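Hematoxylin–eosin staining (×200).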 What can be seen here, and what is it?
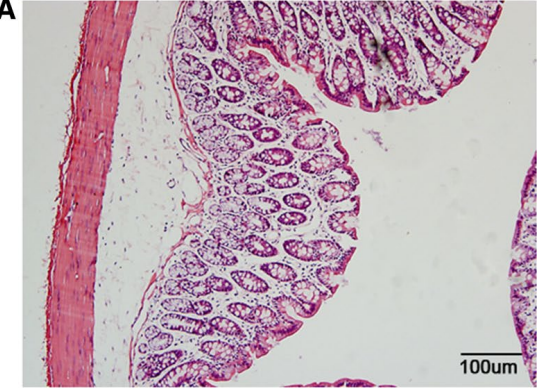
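This is a cross-section of the colon wall, with a mucosa of closely packed tubular crypts lined by columnar epithelium rich in pale goblet cells. Purple nuclei sit at the base of the epithelial cells. Thin strips of lamina propria lie between the crypts. Beneath the mucosa is a pale, loose submucosa, and a thick pink band of smooth muscle forms the outer wall on the left.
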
